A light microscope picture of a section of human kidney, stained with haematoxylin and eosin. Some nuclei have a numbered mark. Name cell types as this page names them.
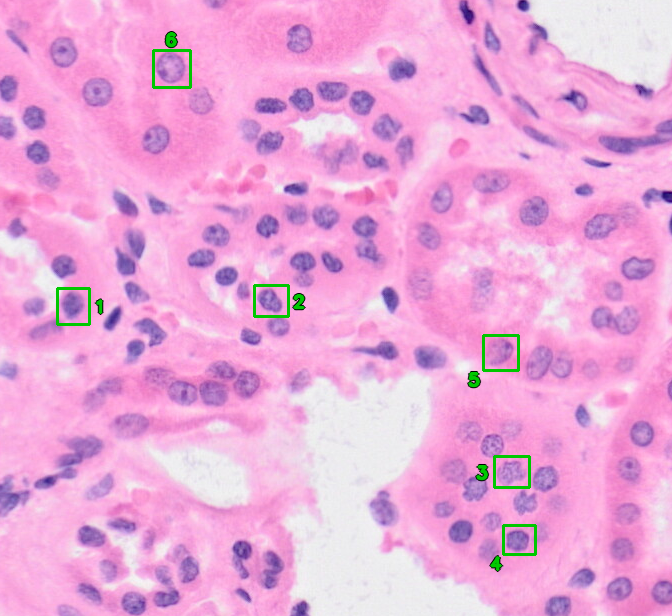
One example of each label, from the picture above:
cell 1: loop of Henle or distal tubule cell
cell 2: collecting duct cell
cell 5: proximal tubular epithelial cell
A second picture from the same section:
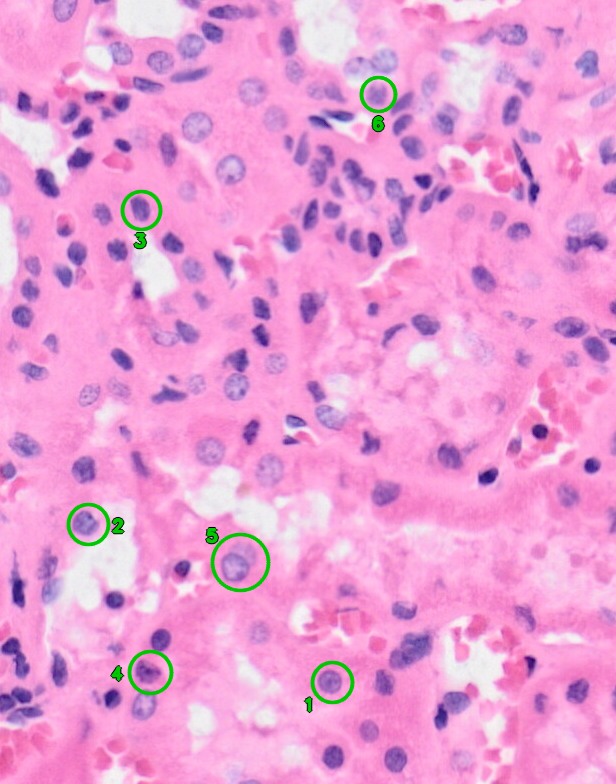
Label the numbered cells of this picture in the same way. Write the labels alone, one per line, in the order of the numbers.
proximal tubular epithelial cell
loop of Henle or distal tubule cell
loop of Henle or distal tubule cell
proximal tubular epithelial cell
proximal tubular epithelial cell
collecting duct cell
